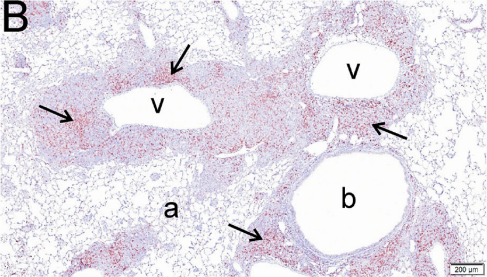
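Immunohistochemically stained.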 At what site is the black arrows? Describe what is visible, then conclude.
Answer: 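Perivascular and peribronchiolar. Dense cell-rich zones with red-stained cells wrap around the vessel and airway lumens. The alveolar tissue away from these lumens is thin-walled and sparse in red cells.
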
